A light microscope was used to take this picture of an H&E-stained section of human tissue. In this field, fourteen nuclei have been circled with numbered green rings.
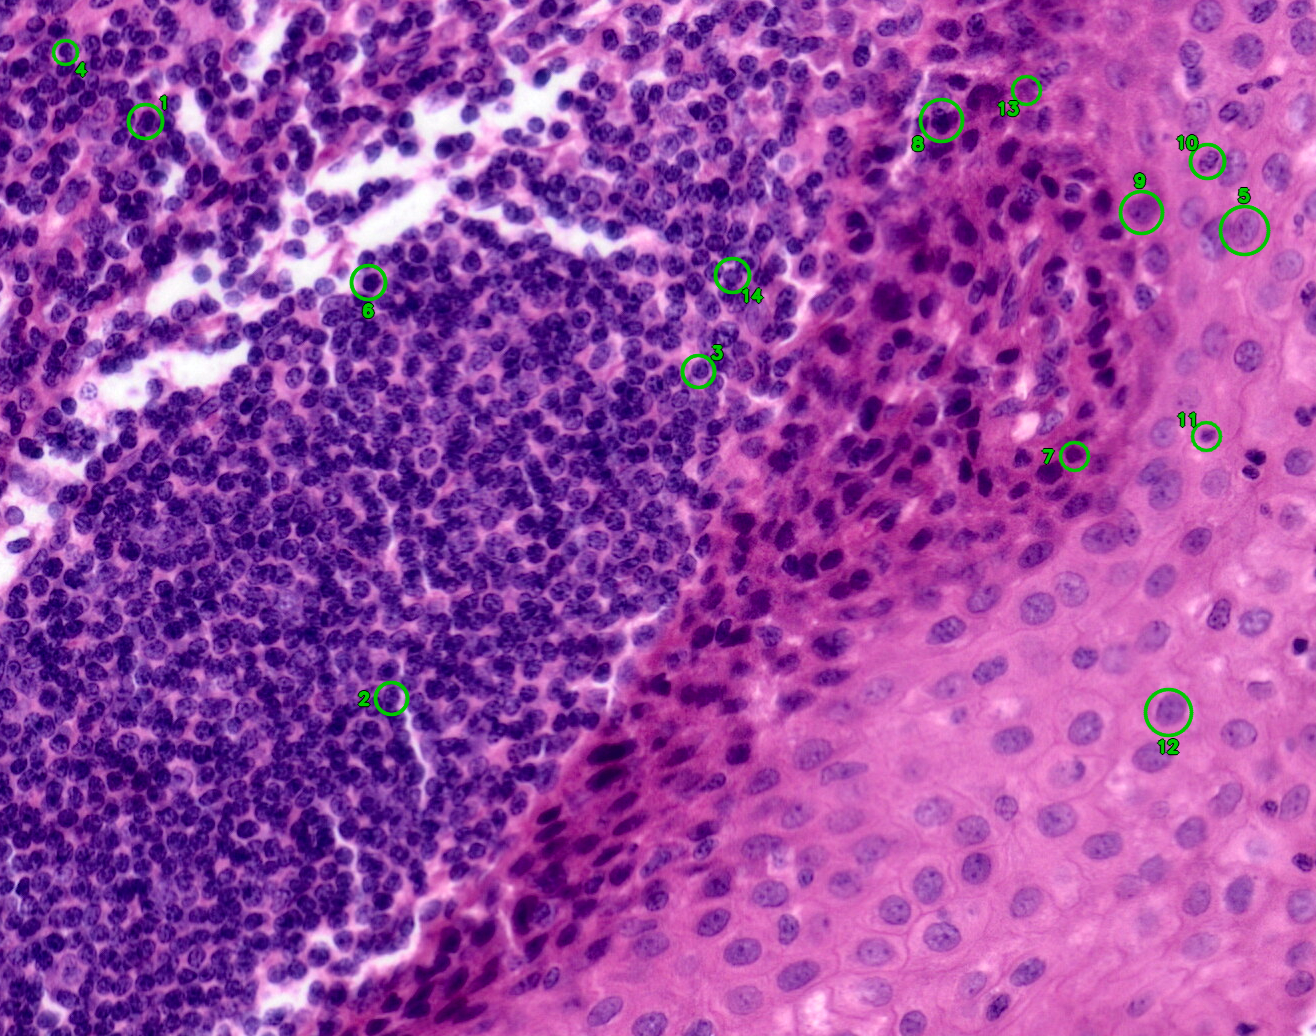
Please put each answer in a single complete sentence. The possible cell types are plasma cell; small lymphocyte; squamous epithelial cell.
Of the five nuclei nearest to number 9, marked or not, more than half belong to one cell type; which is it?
Squamous epithelial cells account for more than half of the five nuclei nearest to number 9.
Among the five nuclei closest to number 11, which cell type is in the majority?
Around number 11, most of the five nearest nuclei are those of squamous epithelial cells.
